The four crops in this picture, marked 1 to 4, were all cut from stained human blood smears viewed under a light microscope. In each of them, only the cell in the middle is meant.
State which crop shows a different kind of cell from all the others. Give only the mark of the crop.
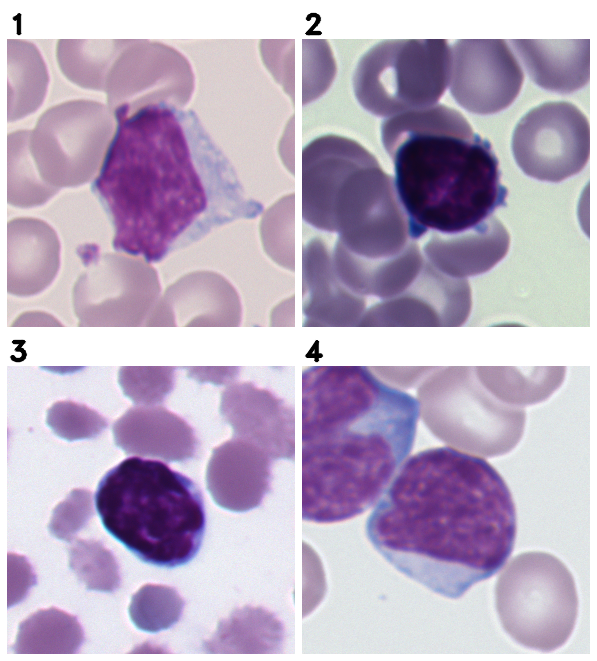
4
